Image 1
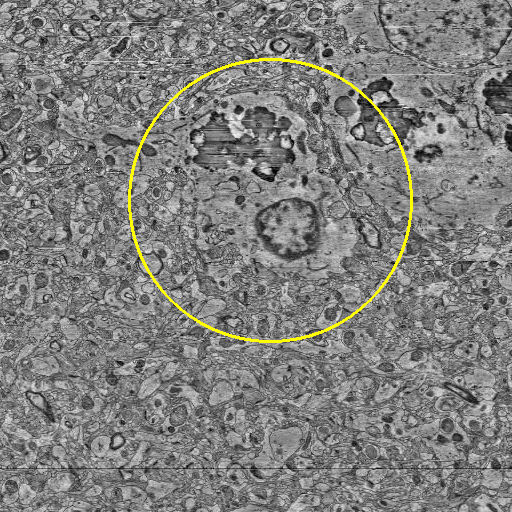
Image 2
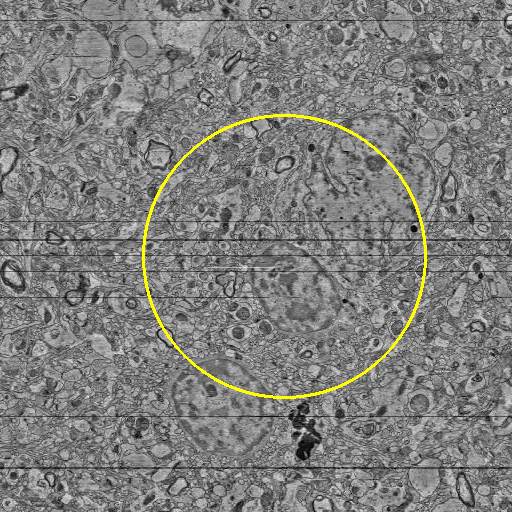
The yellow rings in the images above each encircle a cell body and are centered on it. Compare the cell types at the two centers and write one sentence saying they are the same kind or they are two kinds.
Taken together, the two cells at the ring centers are two kinds.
